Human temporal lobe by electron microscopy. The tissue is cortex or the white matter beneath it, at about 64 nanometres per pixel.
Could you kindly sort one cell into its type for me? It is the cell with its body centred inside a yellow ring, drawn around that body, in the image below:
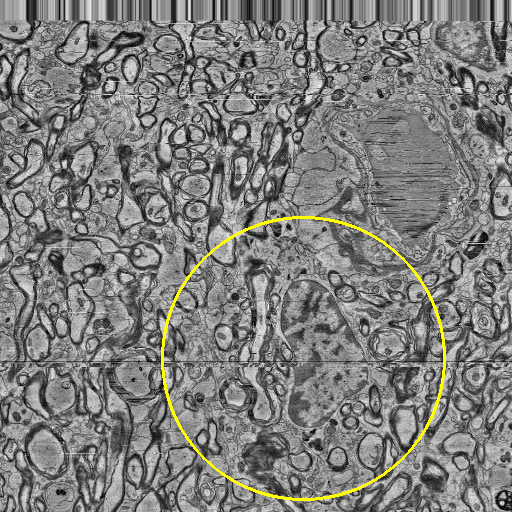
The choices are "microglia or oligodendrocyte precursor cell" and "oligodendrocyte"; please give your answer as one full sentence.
The cell whose body lies centred in the yellow ring here is a microglial cell or oligodendrocyte precursor cell.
